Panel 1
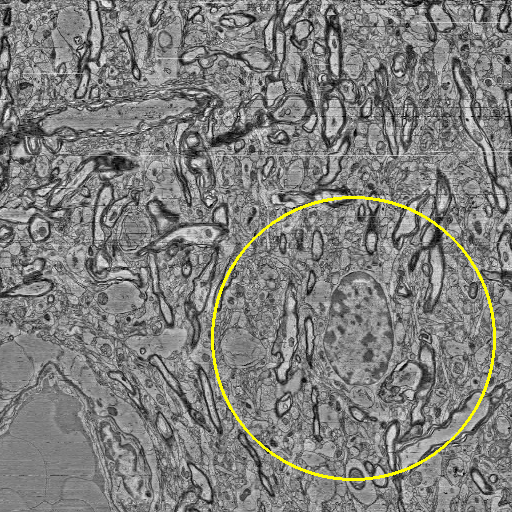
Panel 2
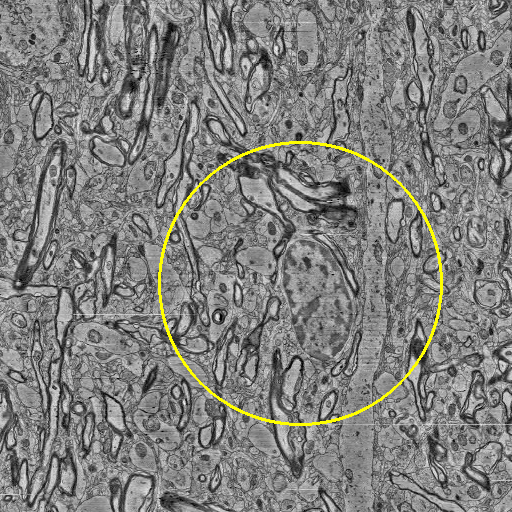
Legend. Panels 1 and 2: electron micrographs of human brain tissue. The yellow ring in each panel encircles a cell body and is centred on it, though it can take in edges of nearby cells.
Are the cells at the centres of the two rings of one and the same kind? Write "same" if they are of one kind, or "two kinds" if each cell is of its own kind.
same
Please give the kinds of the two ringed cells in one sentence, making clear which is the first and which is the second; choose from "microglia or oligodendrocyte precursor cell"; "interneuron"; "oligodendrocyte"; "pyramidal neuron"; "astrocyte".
Both pictures show a microglial cell or oligodendrocyte precursor cell at the centre of the ring.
